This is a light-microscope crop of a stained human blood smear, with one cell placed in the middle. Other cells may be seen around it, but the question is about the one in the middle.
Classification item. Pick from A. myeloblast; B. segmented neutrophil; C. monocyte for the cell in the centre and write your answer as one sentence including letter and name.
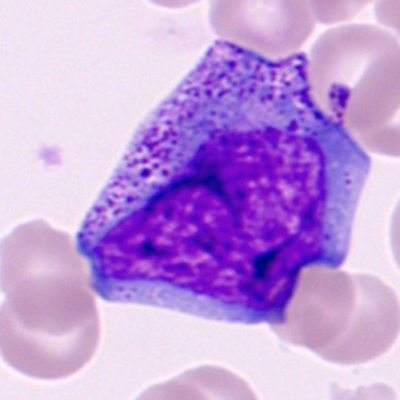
Option A, which names the central cell as a myeloblast, is correct.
